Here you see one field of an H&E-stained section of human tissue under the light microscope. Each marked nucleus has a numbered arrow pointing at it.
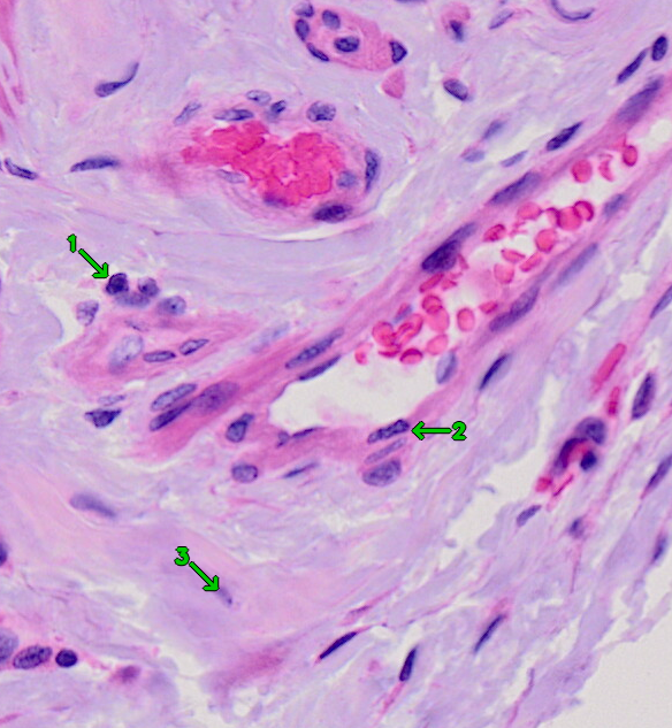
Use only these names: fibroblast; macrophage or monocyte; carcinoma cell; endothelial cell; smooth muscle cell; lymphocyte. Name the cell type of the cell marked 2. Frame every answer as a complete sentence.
The cell marked with the number 2 is an endothelial cell.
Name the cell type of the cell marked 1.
The nucleus with number 1 is that of a lymphocyte.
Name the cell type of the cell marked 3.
The cell assigned the number 3 is a fibroblast.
